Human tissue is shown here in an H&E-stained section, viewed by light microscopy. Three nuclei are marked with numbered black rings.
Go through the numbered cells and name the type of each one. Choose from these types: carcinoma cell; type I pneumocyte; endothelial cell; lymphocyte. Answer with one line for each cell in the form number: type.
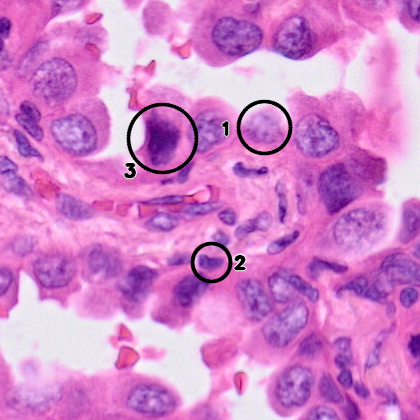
1: carcinoma cell
2: lymphocyte
3: carcinoma cell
